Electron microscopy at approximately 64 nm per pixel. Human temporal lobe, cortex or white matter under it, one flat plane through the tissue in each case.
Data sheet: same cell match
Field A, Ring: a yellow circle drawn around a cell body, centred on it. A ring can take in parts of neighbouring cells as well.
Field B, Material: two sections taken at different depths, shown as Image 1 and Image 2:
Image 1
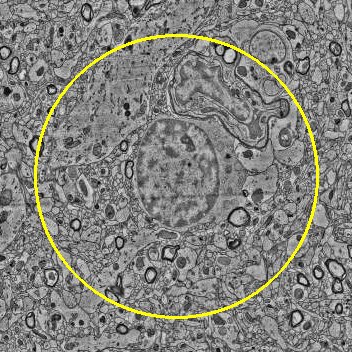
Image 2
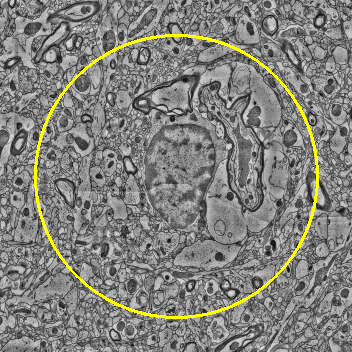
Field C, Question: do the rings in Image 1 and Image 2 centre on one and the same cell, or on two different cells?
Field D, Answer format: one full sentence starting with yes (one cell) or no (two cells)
No, the two circled cells are distinct from one another.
